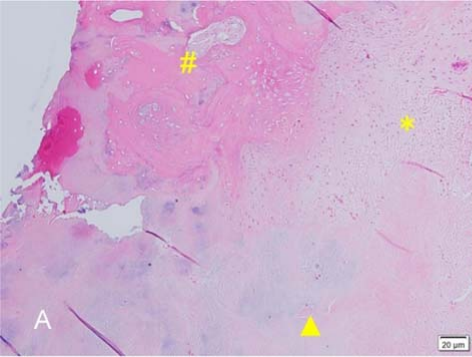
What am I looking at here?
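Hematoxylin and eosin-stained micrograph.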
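This is cartilage next to a zone of ossification. In the upper part, a dense, deeply pink matrix holds scattered small cells in spaces. This matrix gives way to paler tissue below, where the matrix is faintly bluish and the cells are sparse.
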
